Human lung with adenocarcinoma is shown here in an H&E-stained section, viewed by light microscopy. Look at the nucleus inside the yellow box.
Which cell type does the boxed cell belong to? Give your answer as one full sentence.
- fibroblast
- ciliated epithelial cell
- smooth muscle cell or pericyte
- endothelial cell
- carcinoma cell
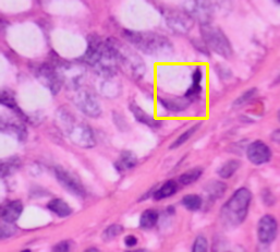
By its classification, the boxed cell is a ciliated epithelial cell.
